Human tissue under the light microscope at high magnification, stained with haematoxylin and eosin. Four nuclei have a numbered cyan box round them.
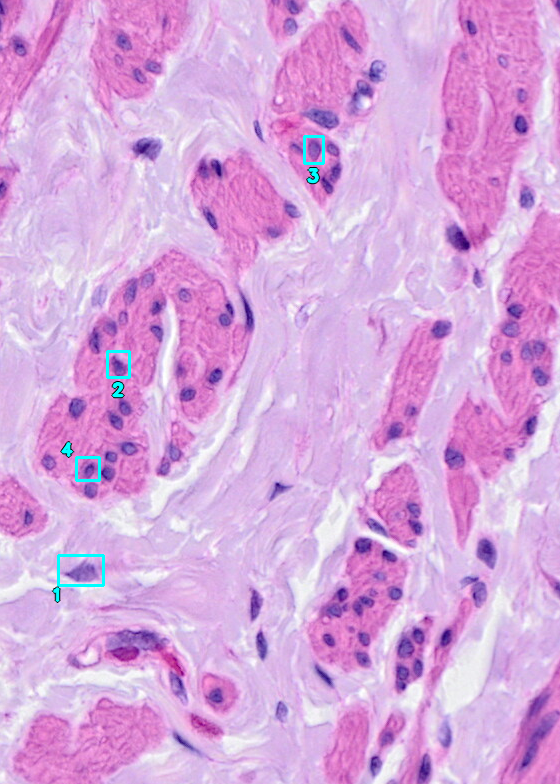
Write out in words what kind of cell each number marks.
Cell 1 is a fibroblast, cell 2 is a smooth muscle cell, cell 3 is a smooth muscle cell and cell 4 is a smooth muscle cell.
